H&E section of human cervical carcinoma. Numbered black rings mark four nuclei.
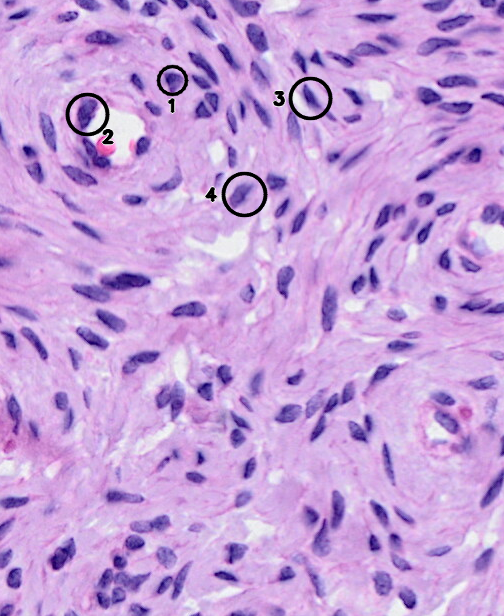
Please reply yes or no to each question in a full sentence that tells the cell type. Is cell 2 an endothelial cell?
Yes, in this tissue section, number 2 is an endothelial cell.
